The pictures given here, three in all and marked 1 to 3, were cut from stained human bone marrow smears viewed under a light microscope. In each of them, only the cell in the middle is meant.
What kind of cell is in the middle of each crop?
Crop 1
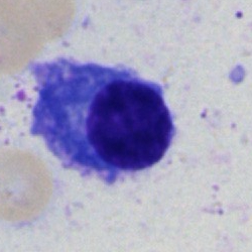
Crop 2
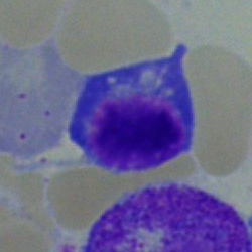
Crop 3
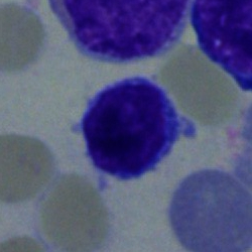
1: plasma cell
2: plasma cell
3: lymphocyte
